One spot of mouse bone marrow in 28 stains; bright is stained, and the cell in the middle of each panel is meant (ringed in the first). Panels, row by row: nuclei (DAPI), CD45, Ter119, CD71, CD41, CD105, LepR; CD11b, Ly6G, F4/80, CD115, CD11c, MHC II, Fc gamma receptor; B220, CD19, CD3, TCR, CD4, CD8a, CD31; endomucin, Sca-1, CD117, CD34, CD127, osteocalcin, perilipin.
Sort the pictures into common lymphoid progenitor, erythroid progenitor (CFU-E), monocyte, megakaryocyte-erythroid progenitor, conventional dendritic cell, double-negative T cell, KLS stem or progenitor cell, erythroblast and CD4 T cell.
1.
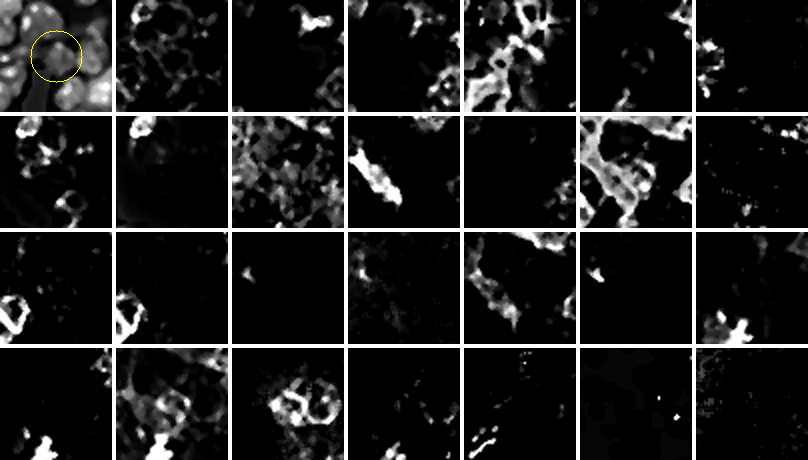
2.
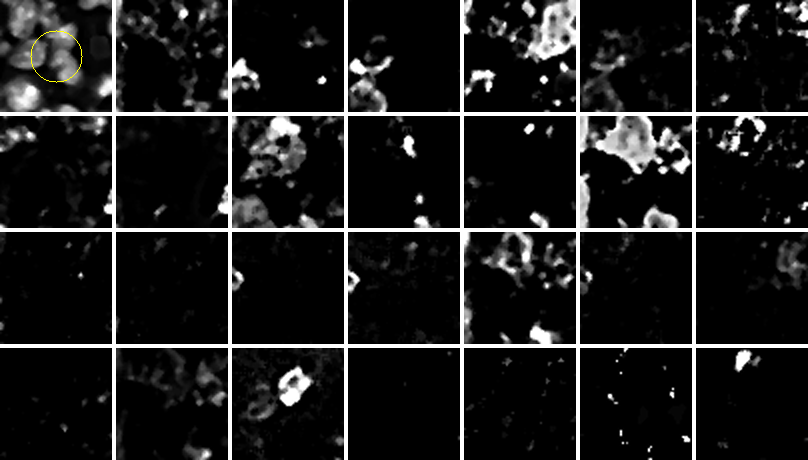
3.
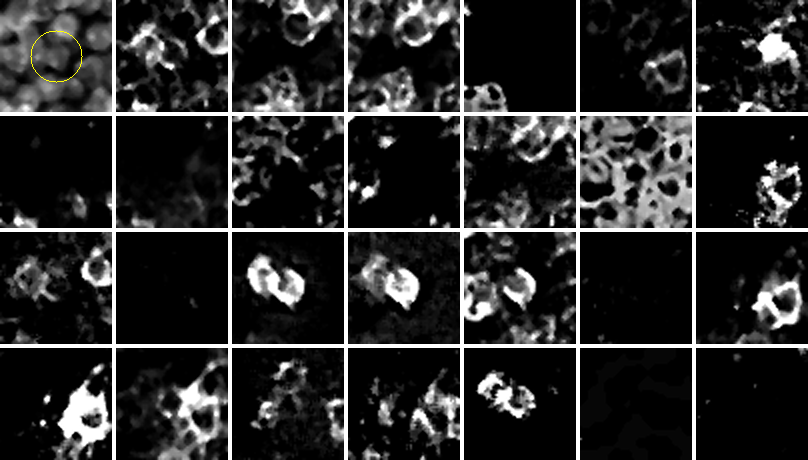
KLS stem or progenitor cells: 1
Megakaryocyte-erythroid progenitors: 2
CD4 T cells: 3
